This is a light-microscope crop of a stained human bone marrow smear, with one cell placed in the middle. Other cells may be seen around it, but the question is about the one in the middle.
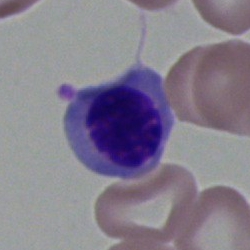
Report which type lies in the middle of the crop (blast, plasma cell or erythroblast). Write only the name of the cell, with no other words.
erythroblast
